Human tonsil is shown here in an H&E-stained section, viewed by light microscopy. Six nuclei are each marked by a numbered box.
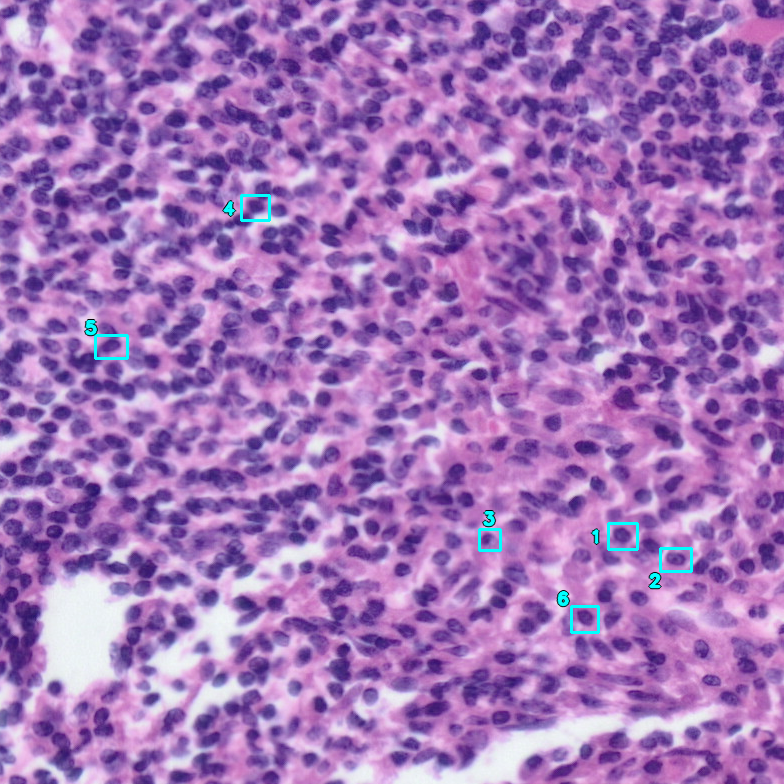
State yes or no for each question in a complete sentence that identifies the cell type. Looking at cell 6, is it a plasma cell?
Yes, that is right: the cell labelled 6 is a plasma cell.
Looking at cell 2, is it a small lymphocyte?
No, it's not a small lymphocyte at number 2; that cell is a plasma cell.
